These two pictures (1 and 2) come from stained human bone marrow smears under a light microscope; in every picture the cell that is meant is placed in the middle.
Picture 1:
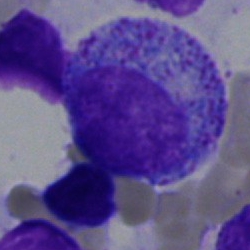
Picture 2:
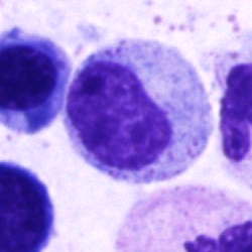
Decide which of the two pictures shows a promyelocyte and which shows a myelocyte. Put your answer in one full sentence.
Picture 1 is of a promyelocyte, and picture 2 is of a myelocyte.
